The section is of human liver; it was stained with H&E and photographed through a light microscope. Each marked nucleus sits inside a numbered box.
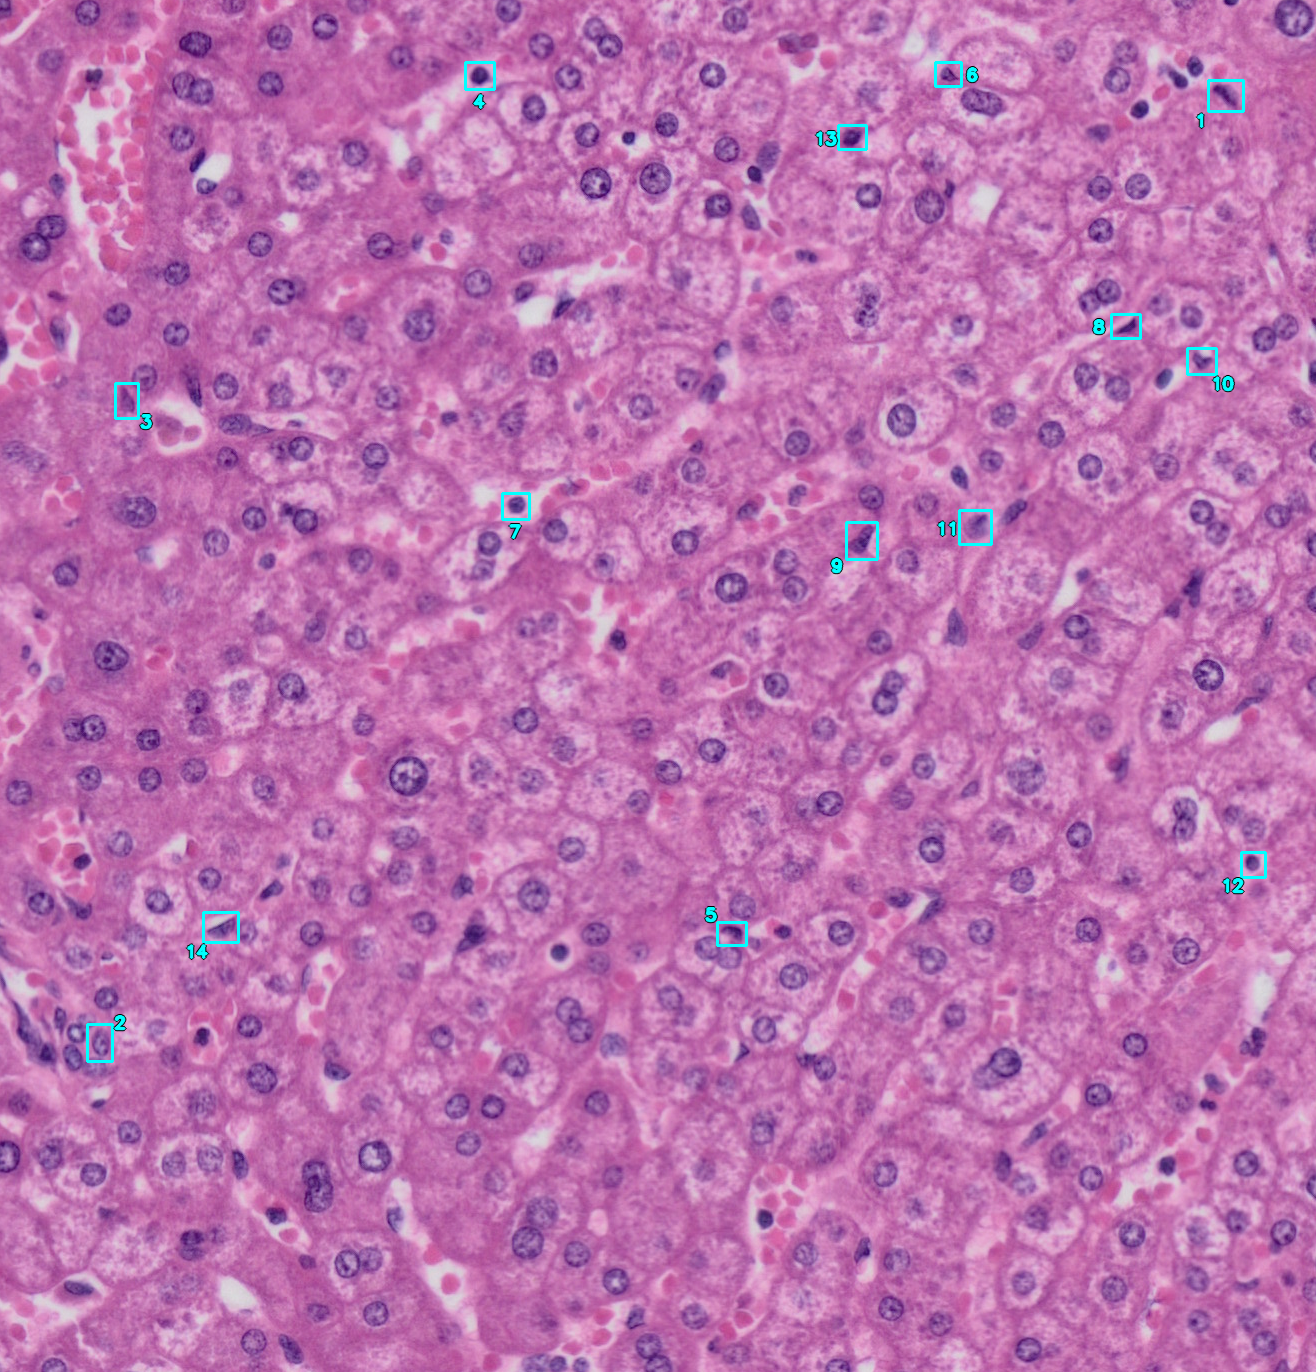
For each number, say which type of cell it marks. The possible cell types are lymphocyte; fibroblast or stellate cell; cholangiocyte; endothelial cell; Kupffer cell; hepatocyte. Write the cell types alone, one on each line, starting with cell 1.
endothelial cell
cholangiocyte
fibroblast or stellate cell
lymphocyte
fibroblast or stellate cell
fibroblast or stellate cell
lymphocyte
fibroblast or stellate cell
fibroblast or stellate cell
endothelial cell
endothelial cell
lymphocyte
fibroblast or stellate cell
endothelial cell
